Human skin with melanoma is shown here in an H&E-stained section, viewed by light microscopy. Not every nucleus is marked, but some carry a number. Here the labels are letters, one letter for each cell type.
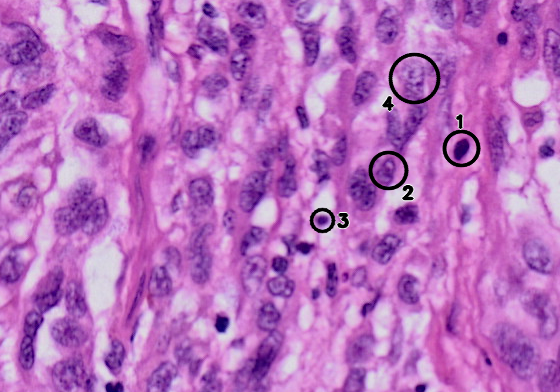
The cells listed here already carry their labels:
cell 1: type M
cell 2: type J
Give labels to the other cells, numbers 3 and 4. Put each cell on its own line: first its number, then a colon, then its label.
3: type M
4: type J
